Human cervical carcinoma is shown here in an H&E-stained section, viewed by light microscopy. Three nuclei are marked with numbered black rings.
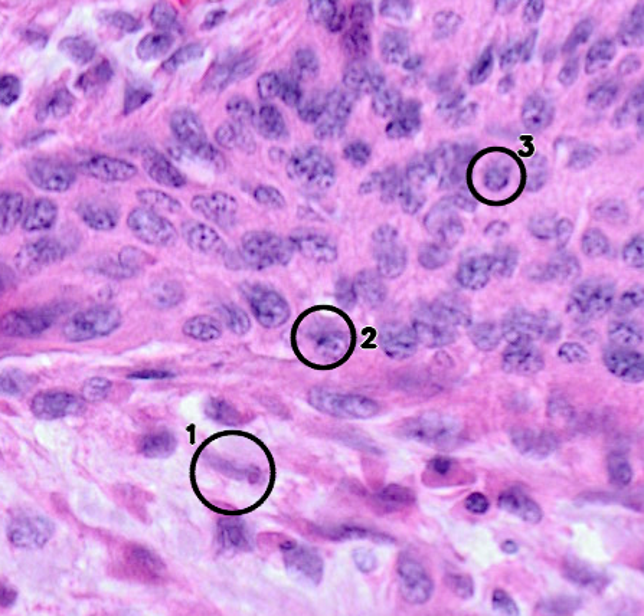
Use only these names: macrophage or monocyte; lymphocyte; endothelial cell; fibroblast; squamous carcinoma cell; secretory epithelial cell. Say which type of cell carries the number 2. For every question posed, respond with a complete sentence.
Number 2 is placed on a squamous carcinoma cell here.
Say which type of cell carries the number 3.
The cell indicated with the number 3 is classed as a squamous carcinoma cell.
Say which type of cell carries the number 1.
The mark numbered 1 indicates the nucleus of a fibroblast.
